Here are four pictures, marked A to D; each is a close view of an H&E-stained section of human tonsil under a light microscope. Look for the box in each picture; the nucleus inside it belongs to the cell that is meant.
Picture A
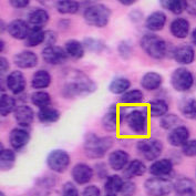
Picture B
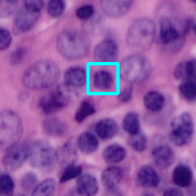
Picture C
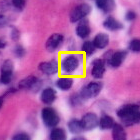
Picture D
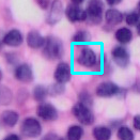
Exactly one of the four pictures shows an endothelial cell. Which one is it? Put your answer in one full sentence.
The endothelial cell is the one in picture B.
